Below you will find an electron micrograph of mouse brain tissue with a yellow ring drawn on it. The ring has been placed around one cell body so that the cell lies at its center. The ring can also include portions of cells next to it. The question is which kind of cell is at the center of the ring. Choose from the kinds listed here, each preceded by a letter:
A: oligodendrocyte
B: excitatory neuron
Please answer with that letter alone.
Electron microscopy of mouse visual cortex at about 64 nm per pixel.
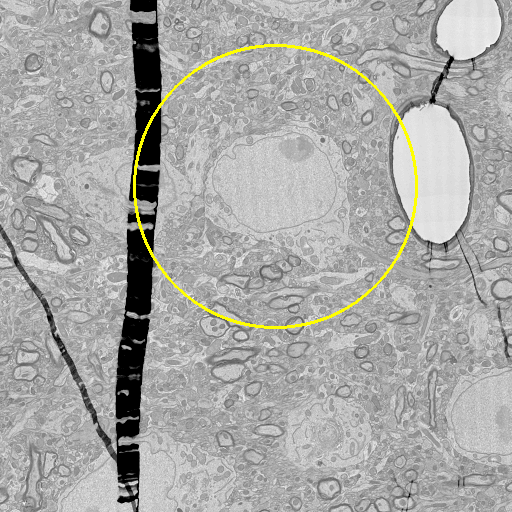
B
